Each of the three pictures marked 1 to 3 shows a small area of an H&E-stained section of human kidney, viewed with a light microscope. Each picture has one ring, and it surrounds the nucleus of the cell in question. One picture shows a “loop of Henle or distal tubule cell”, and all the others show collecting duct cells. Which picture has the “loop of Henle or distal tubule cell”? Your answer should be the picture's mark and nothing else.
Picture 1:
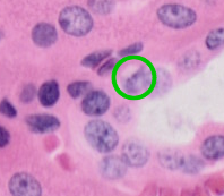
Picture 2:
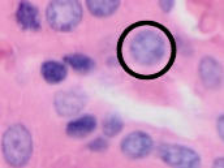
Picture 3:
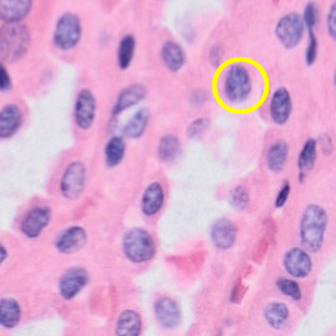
3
